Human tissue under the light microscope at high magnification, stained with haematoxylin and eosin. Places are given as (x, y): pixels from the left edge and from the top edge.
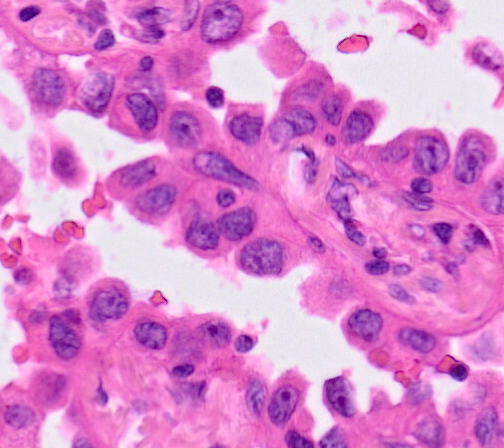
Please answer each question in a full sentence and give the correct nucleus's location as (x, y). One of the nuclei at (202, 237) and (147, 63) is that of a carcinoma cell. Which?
Of the pair, the nucleus located at (202, 237) belongs to a carcinoma cell.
